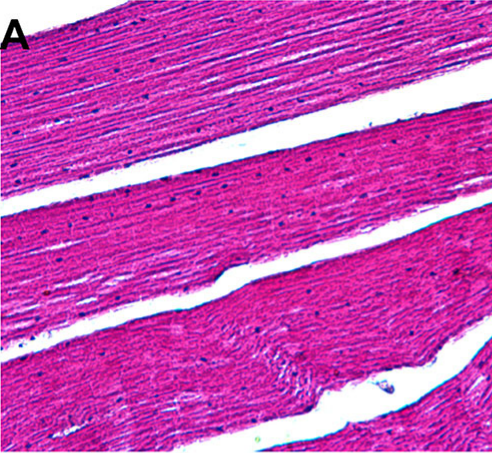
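Longitudinal section of muscle with broad, parallel fibre bundles stained pink by eosin and separated by clear white spaces. The fibres are continuous with fine longitudinal striations.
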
